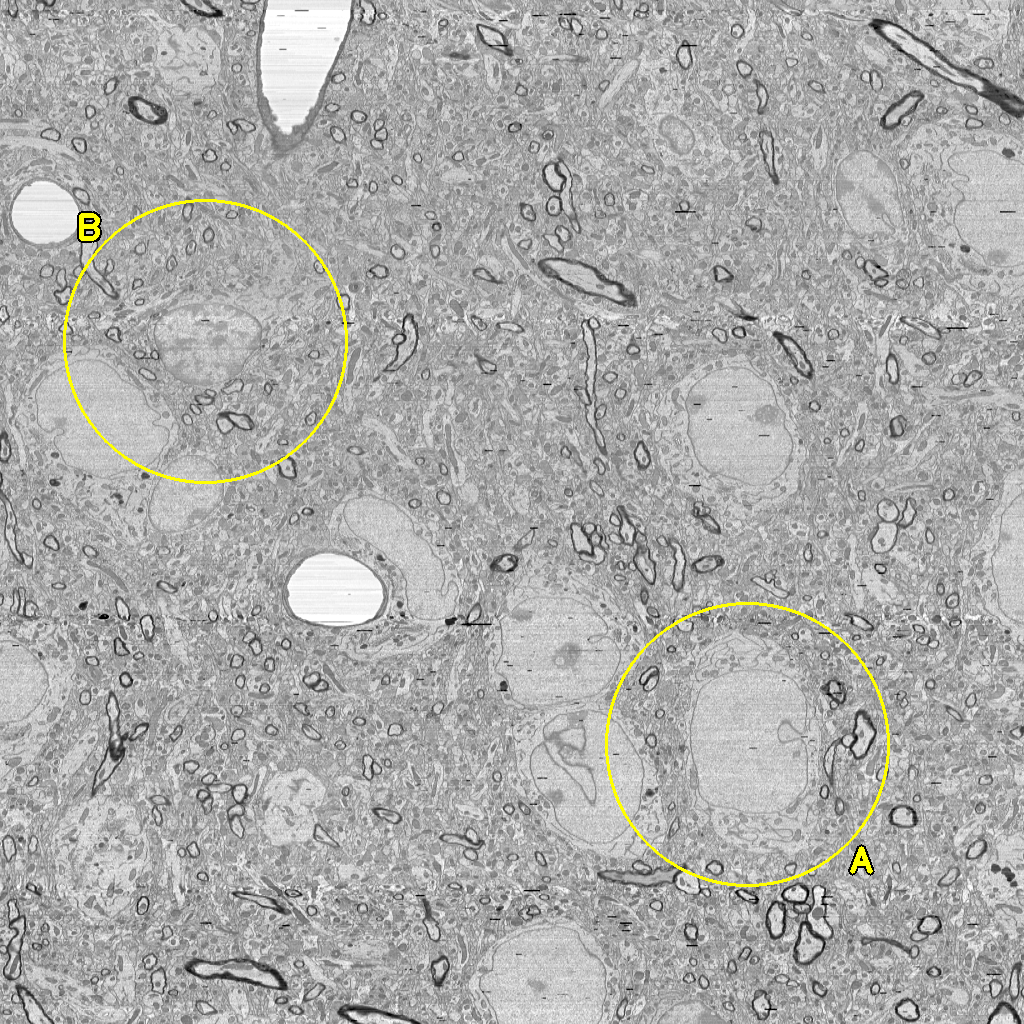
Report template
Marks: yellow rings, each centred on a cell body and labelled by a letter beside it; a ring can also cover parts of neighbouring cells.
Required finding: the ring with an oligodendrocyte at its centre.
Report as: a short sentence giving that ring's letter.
Ring B holds that cell at its centre.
